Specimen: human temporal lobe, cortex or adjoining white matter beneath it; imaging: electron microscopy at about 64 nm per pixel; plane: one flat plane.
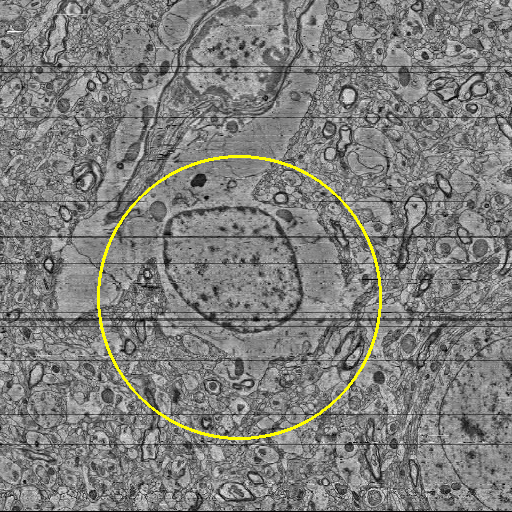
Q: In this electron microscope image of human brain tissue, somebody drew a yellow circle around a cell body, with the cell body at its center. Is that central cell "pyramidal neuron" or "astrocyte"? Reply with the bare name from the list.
astrocyte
